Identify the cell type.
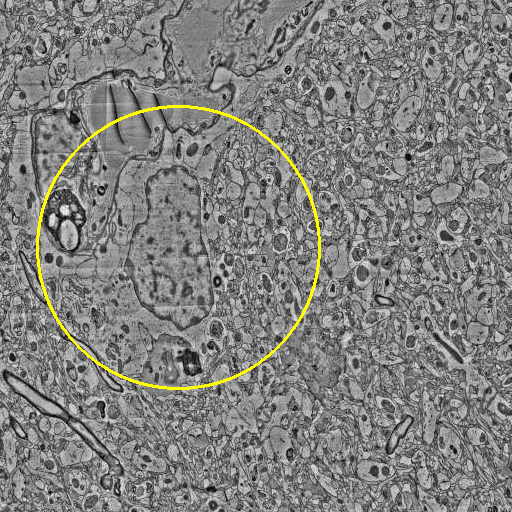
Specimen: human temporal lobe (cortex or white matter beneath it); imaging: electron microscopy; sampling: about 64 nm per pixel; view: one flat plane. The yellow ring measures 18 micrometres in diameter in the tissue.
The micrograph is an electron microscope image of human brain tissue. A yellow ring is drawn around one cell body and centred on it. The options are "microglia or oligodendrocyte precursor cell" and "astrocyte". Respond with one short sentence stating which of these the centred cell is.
The cell body in the ring belongs to a microglial cell or oligodendrocyte precursor cell.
